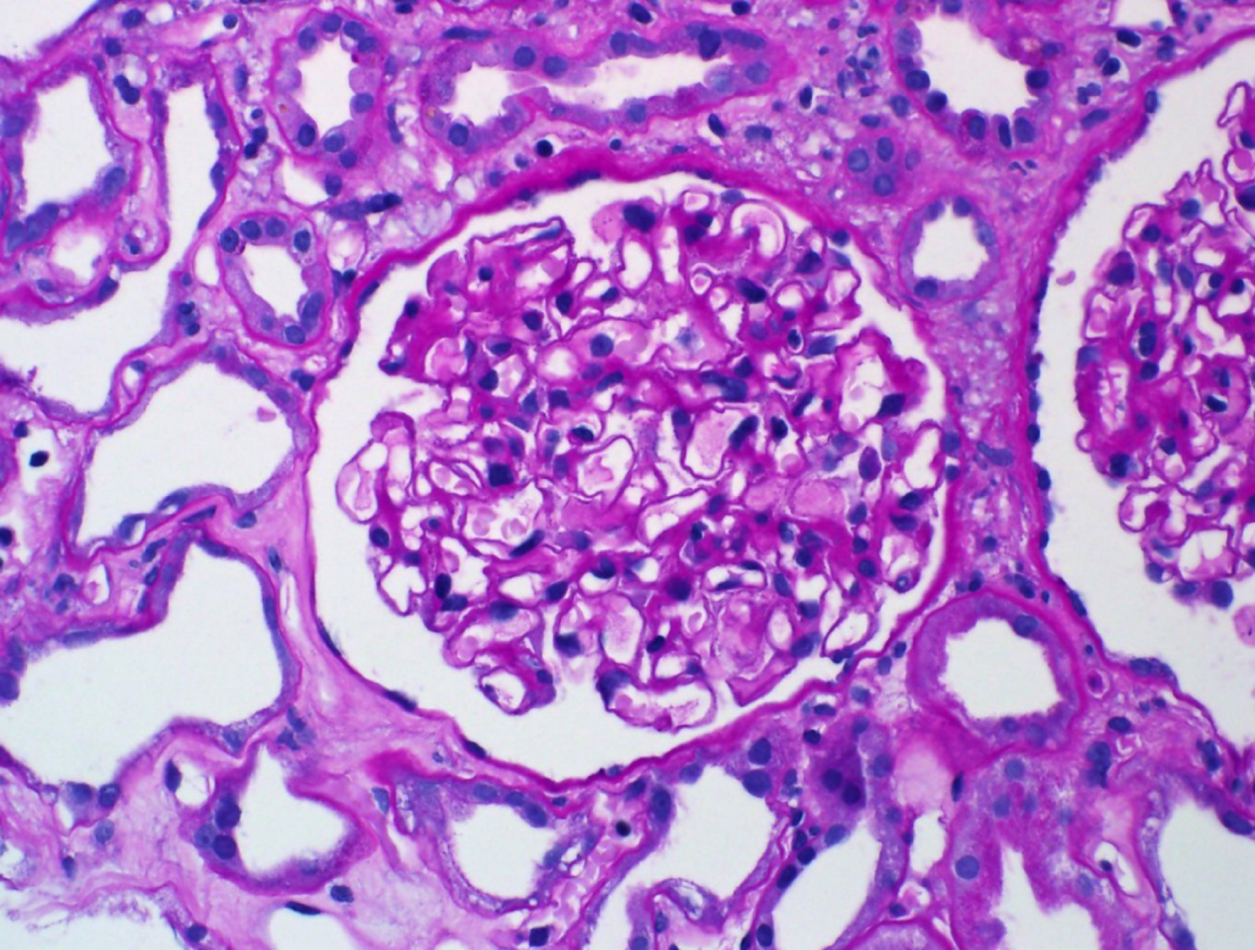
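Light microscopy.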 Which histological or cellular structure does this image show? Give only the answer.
Glomeruli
